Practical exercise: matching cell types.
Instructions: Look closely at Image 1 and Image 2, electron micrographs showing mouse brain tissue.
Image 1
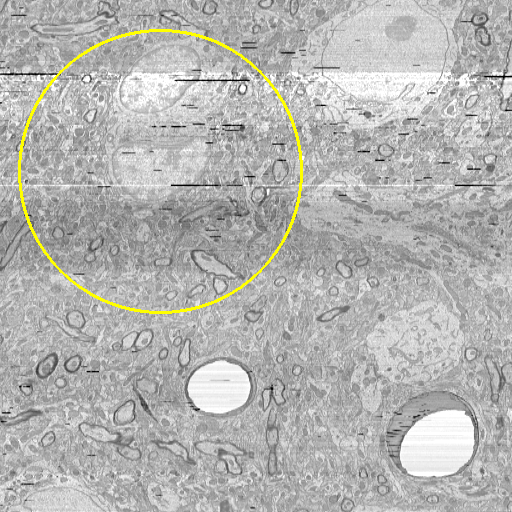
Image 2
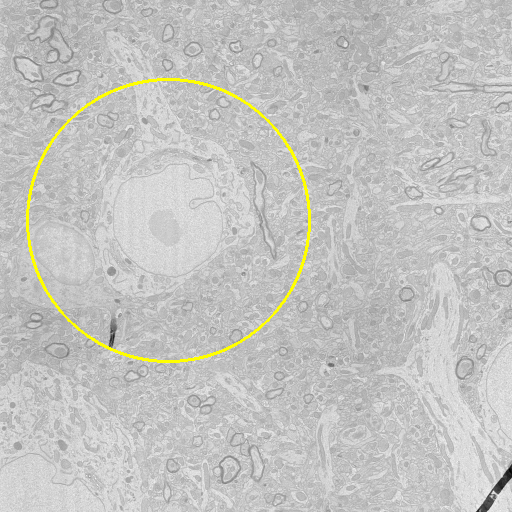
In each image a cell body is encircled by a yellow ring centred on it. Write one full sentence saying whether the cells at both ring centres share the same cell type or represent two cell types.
Across Image 1 and Image 2, the cells at the ring centres represent two cell types.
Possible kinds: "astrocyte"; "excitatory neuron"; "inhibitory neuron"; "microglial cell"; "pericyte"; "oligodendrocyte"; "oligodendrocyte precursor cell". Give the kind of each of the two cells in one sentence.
The cell in the second picture is an excitatory neuron, and that in the first is an oligodendrocyte.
